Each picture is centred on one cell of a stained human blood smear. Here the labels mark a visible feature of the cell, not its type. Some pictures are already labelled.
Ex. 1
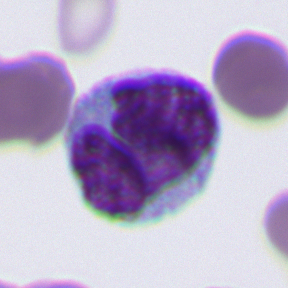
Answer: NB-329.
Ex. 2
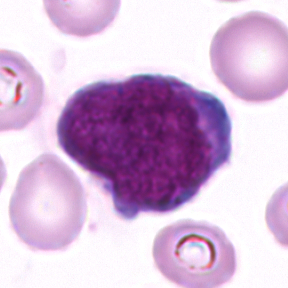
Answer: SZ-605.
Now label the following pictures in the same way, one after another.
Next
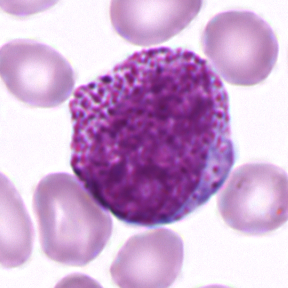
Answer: NB-329.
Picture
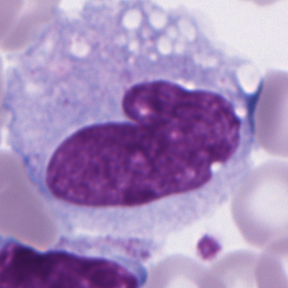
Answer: NB-329.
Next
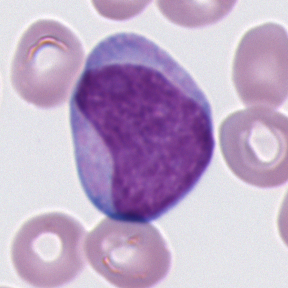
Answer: SZ-605.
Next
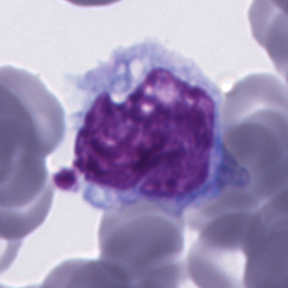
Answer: SZ-605.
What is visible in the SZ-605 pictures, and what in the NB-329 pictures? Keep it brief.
SZ-605: no visible granules; NB-329: many visible granules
